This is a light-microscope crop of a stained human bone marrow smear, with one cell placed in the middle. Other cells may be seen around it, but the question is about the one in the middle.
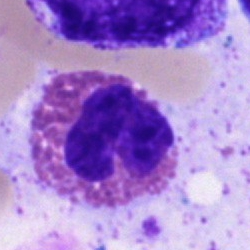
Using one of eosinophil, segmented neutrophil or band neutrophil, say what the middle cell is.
eosinophil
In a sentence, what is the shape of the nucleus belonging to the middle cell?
If you check the nucleus, you will find one compact mass, round, oval or kidney-shaped.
